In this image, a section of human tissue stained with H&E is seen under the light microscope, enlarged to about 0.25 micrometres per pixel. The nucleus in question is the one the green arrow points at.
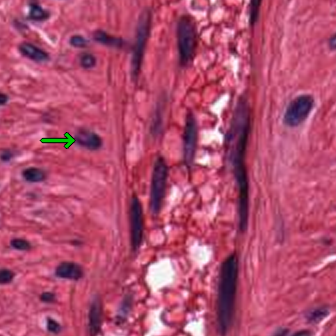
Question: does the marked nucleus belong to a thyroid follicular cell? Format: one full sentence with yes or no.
No, the marked nucleus is not located in a thyroid follicular cell.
